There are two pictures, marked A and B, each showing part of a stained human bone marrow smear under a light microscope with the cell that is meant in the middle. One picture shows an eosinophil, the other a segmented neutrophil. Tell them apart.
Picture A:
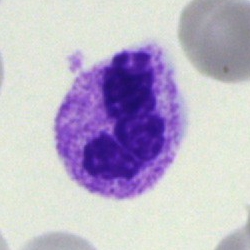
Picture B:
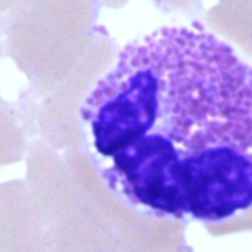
A: segmented neutrophil
B: eosinophil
